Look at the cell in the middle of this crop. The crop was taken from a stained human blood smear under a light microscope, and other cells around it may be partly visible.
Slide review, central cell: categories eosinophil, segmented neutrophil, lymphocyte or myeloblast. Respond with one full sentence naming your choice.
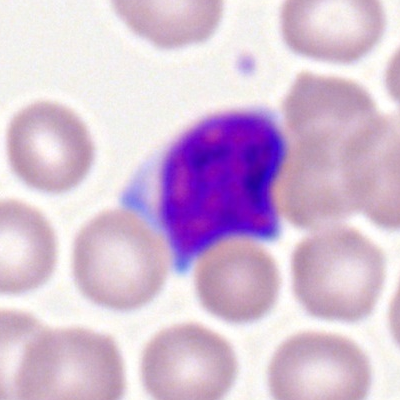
The central cell shown in this smear crop is a lymphocyte.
